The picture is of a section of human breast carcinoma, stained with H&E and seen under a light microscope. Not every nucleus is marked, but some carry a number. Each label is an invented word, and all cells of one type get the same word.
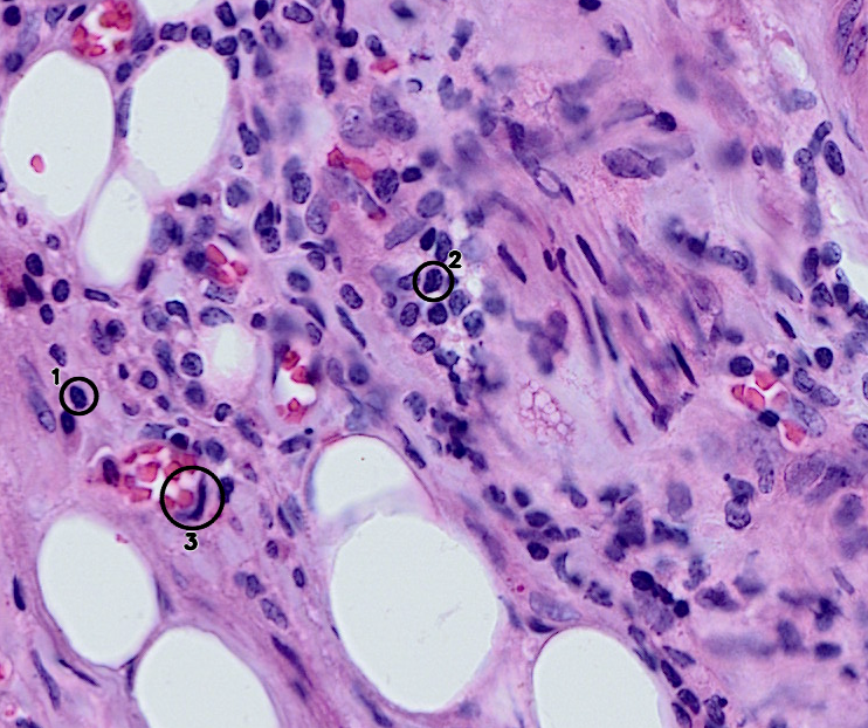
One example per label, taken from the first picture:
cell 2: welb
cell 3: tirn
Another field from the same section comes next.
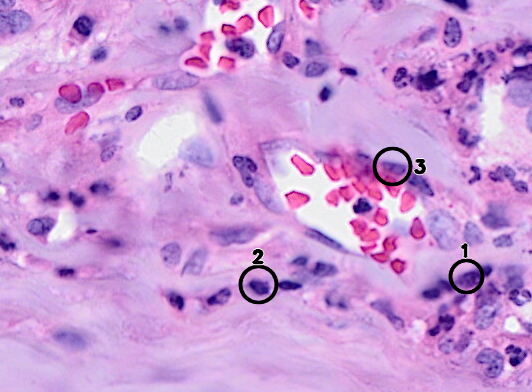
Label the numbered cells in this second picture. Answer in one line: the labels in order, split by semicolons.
welb; welb; tirn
